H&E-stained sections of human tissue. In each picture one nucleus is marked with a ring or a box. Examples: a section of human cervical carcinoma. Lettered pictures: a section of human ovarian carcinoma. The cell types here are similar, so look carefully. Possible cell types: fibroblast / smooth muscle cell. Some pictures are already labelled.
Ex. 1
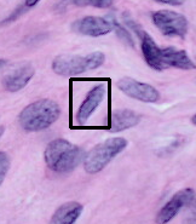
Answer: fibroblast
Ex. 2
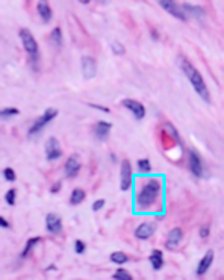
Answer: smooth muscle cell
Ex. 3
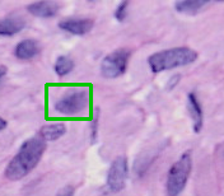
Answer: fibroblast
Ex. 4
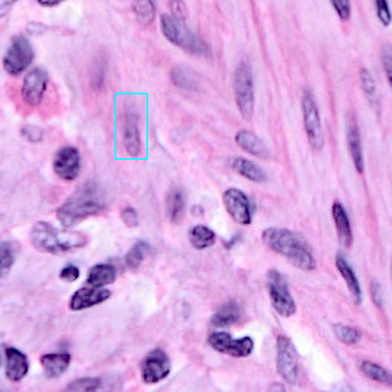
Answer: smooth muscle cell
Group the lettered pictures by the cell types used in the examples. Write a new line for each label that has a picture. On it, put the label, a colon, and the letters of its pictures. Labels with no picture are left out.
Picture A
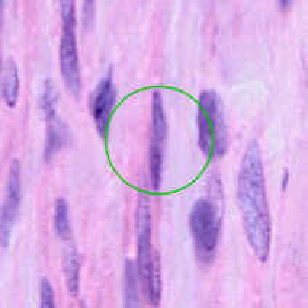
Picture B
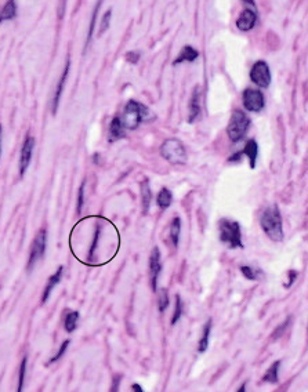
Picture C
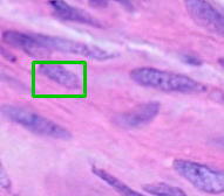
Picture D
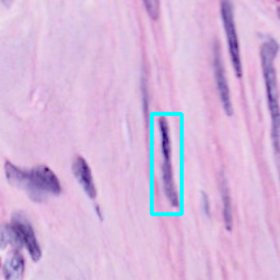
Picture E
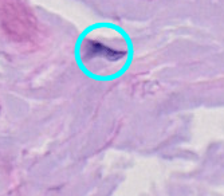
fibroblast: B, E
smooth muscle cell: A, C, D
